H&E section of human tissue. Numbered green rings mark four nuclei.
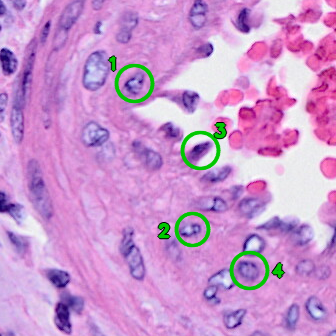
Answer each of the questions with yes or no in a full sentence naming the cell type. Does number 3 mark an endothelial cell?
Yes, within this section, cell number 3 is an endothelial cell.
